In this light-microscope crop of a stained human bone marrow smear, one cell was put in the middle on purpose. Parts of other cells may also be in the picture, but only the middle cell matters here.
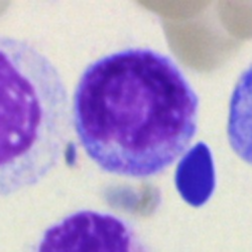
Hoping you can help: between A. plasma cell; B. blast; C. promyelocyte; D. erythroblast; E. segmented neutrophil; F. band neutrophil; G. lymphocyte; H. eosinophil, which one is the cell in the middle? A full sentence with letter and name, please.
Option B correctly states that the central cell is a blast.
